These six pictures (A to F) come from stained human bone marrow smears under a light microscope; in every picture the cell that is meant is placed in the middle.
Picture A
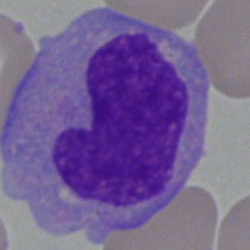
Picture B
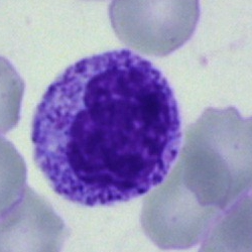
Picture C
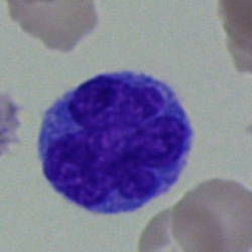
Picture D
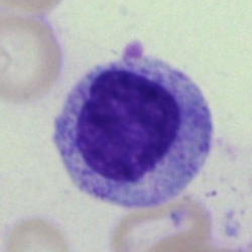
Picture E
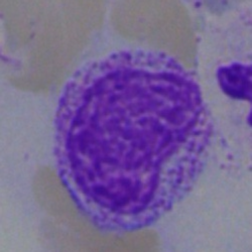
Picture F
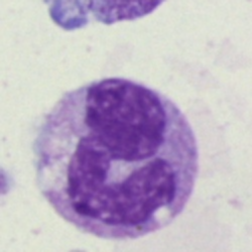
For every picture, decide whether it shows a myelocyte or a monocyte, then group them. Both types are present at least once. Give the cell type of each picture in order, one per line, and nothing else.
monocyte
myelocyte
monocyte
myelocyte
myelocyte
monocyte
